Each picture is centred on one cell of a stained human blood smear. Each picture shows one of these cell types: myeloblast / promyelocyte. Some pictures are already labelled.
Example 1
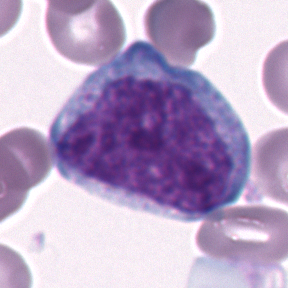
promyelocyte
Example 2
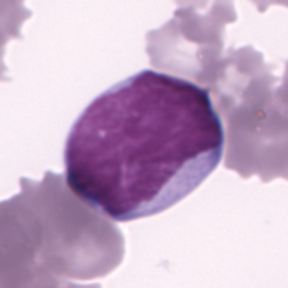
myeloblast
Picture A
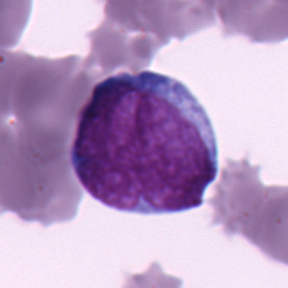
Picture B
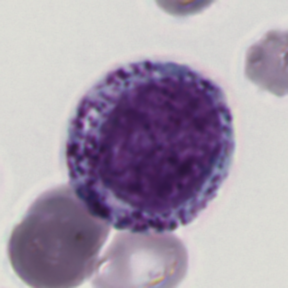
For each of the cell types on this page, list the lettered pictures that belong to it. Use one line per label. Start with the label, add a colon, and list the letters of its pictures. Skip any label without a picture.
myeloblast: A
promyelocyte: B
